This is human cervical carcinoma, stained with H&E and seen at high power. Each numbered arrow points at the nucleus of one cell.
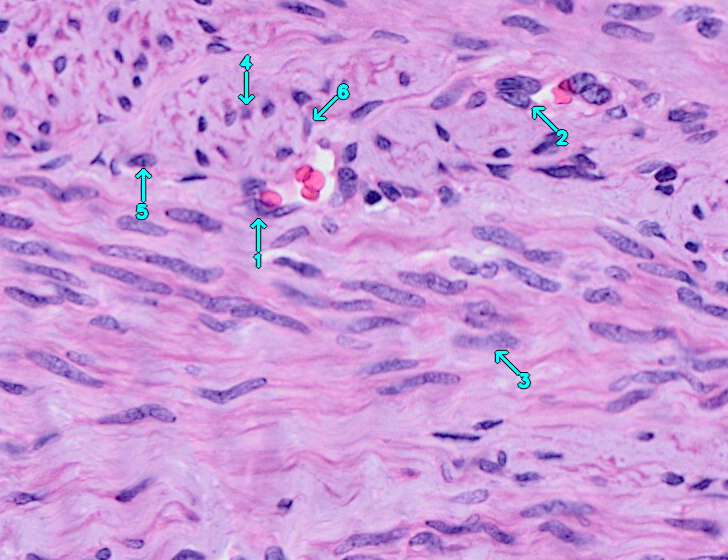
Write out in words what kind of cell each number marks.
Cell 1 is an endothelial cell, cell 2 is an endothelial cell, cell 3 is a smooth muscle cell, cell 4 is a smooth muscle cell, cell 5 is a smooth muscle cell and cell 6 is a smooth muscle cell.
